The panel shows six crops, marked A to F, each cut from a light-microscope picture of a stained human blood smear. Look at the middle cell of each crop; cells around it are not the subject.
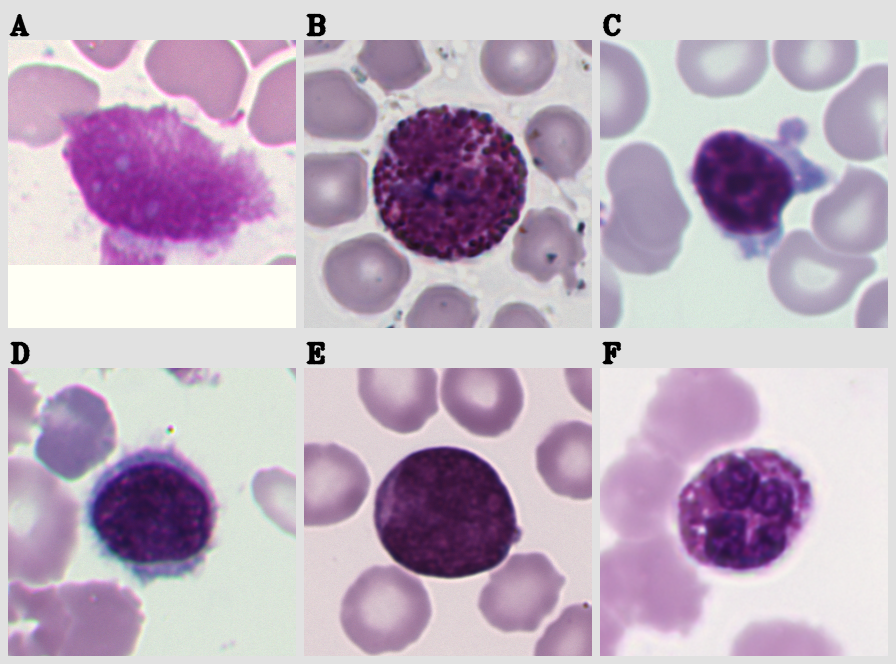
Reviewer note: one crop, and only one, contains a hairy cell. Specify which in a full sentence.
The crop that has a hairy cell in the middle is crop D.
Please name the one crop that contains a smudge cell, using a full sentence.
The sole crop showing a smudge cell is crop A.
